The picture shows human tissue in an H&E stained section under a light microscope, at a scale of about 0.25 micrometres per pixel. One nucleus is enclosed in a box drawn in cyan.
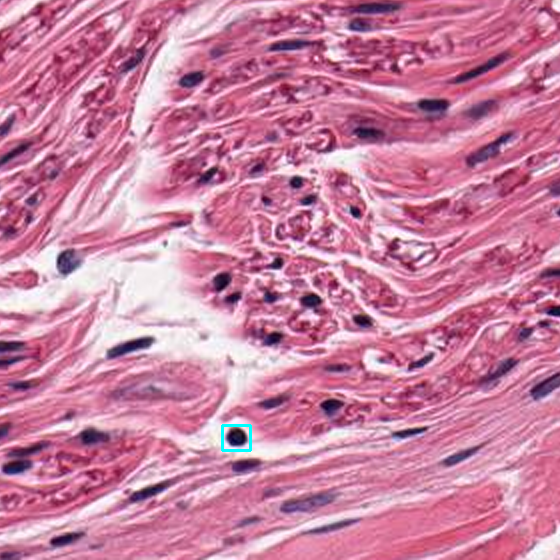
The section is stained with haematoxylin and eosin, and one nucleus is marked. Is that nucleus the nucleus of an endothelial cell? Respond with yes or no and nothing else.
no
